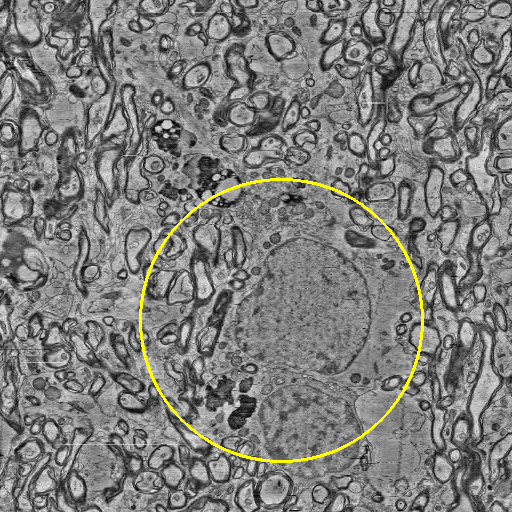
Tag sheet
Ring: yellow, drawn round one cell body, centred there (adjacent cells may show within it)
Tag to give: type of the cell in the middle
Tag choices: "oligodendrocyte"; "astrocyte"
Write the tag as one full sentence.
I tag the cell centred in the yellow ring as an astrocyte in this picture.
